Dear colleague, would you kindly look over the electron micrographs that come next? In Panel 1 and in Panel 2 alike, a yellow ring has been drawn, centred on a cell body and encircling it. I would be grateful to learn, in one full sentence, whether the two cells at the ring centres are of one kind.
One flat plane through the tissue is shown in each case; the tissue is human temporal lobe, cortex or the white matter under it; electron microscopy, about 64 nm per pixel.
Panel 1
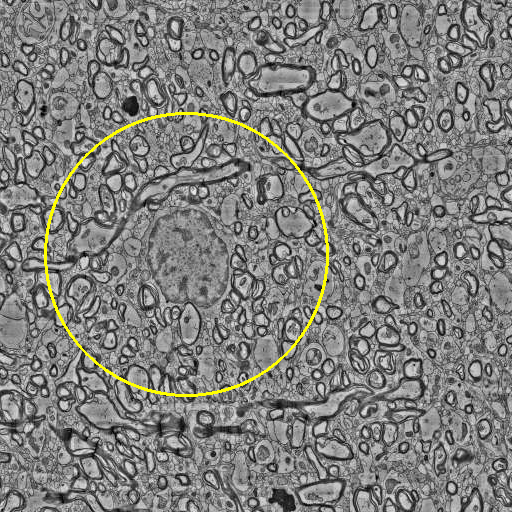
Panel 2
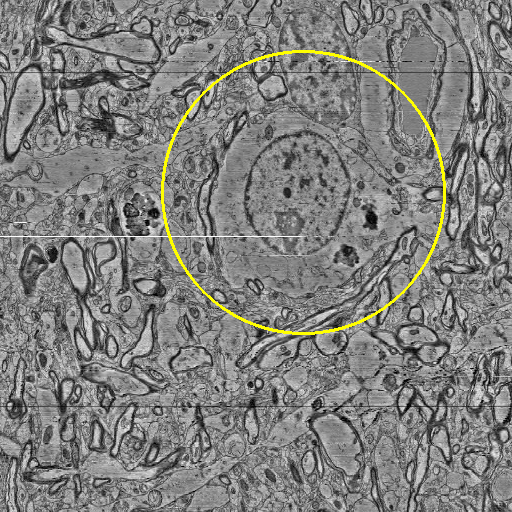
No, the cells in the middle of the rings in the two panels are of two kinds.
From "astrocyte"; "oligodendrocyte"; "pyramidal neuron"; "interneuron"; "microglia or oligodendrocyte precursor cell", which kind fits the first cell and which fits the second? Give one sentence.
The cell marked in the first picture is an oligodendrocyte, and the one marked in the second is an astrocyte.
